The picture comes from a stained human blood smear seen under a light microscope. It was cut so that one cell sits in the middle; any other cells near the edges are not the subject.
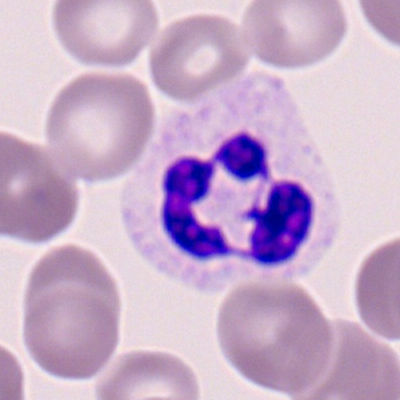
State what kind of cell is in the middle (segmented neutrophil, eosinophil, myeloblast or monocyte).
segmented neutrophil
